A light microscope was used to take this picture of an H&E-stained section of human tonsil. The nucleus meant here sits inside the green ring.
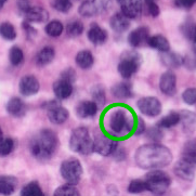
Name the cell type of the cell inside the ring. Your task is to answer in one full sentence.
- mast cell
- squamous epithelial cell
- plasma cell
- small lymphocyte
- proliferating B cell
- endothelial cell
In short, the cell inside the ring on this section is a proliferating B cell.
